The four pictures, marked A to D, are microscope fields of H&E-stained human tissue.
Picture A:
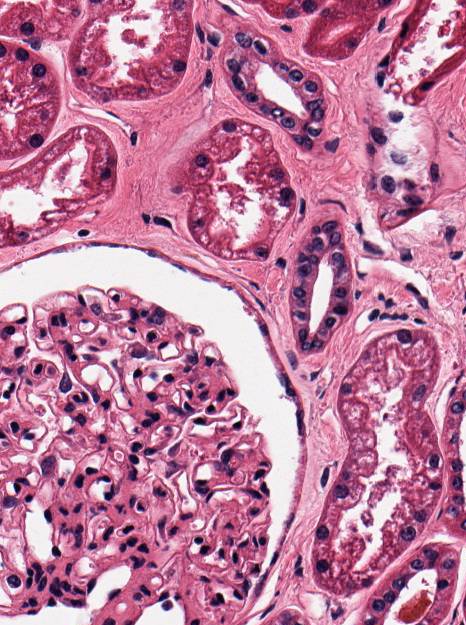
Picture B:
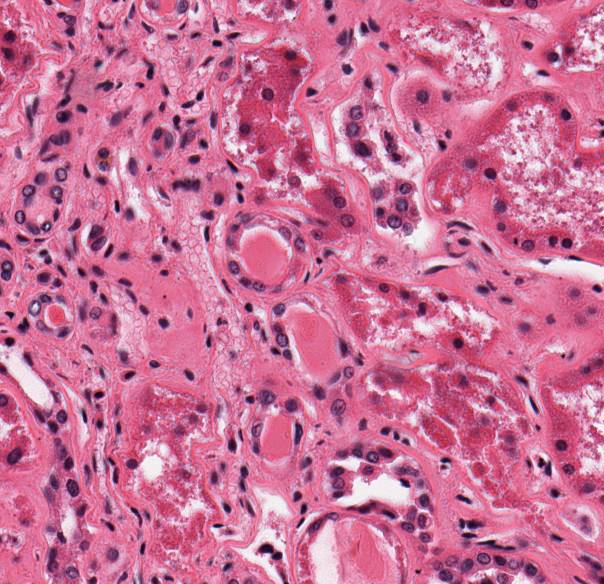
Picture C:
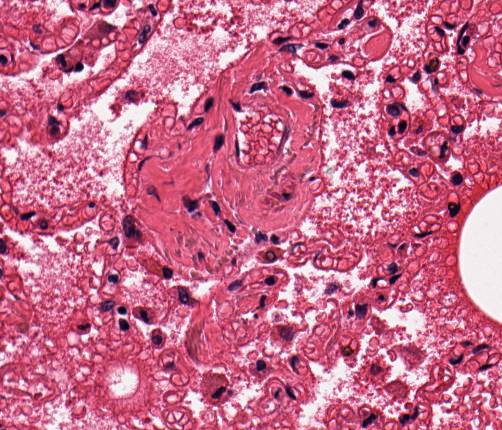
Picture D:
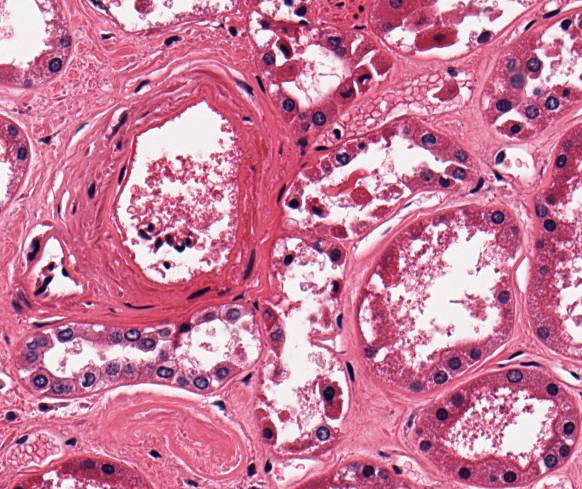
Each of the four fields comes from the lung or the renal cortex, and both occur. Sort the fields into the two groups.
A: renal cortex
B: renal cortex
C: lung
D: renal cortex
